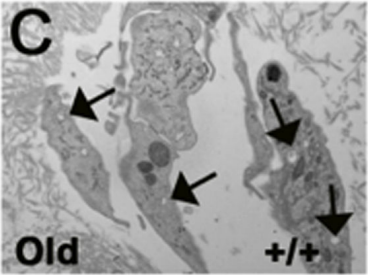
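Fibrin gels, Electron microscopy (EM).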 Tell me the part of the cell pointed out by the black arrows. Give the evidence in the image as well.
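The arrows point to small, pale, round membrane-bound spaces inside the cytoplasm of elongated cells. Each marked space lies within a cell profile, not in the surrounding matrix. That points to this answer: vesicles.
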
